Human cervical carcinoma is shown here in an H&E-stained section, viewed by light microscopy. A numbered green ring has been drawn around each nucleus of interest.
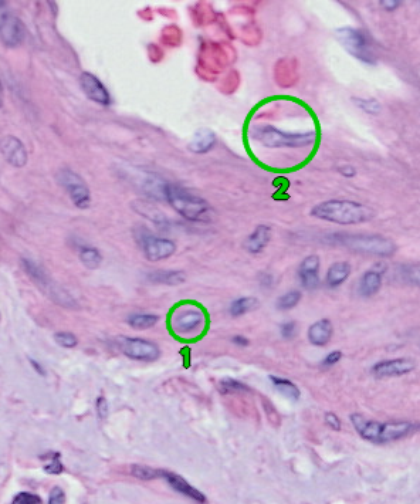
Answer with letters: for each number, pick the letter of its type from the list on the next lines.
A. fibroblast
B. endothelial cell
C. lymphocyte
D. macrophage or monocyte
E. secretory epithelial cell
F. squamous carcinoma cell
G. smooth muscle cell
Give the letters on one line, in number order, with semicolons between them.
G; B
